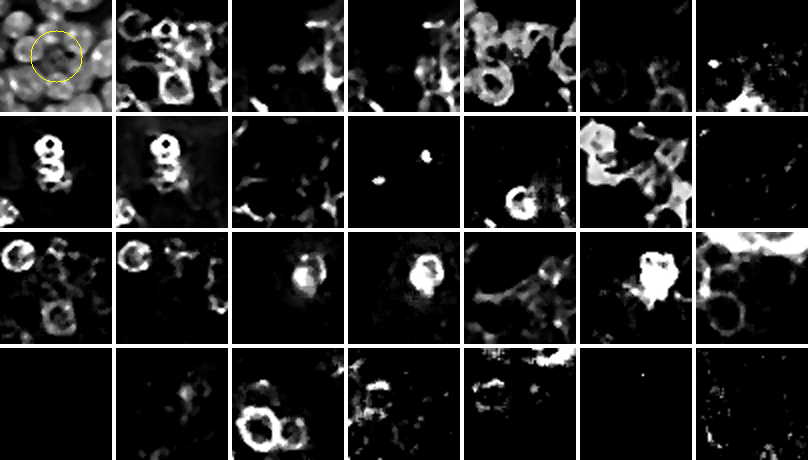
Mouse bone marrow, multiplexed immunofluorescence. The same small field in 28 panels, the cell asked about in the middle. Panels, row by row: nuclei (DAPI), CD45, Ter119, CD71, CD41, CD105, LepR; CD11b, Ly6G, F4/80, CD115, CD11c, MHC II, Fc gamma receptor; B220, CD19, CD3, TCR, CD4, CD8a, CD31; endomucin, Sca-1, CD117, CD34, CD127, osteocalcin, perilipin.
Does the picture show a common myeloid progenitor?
No, it shows a neutrophil.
